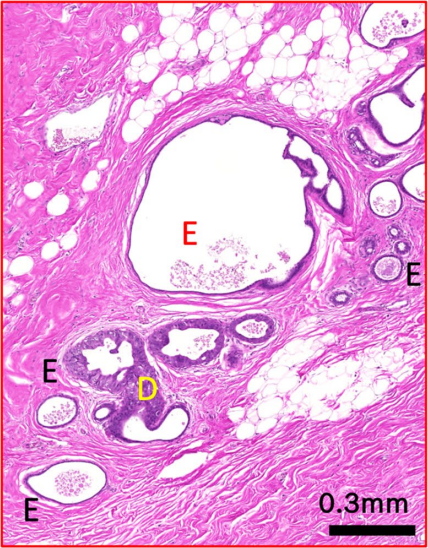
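This field shows breast-type tissue with cysts and duct cross-sections set in dense pink fibrous stroma. The largest cyst is a round, mostly empty space lined by a thin layer of cells, with a loose cluster of small granular particles lying in its lumen. Smaller round cysts nearby also contain granular material. Below the large cyst, several duct cross-sections are lined by a thickened, dark purple epithelium that projects into and partly fills their lumens. Groups of clear, empty-looking fat cells lie at the top and on the right of the field, between bundles of wavy pink collagen.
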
